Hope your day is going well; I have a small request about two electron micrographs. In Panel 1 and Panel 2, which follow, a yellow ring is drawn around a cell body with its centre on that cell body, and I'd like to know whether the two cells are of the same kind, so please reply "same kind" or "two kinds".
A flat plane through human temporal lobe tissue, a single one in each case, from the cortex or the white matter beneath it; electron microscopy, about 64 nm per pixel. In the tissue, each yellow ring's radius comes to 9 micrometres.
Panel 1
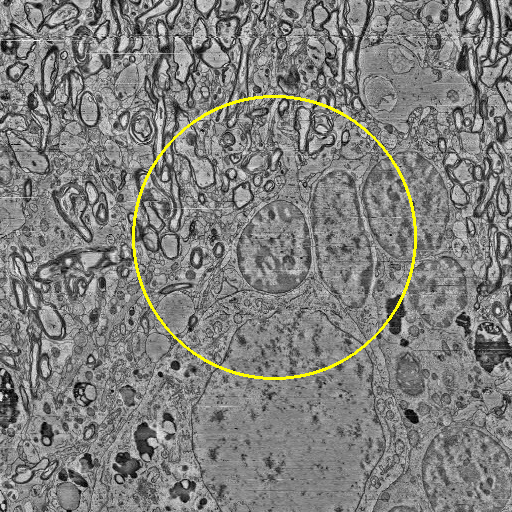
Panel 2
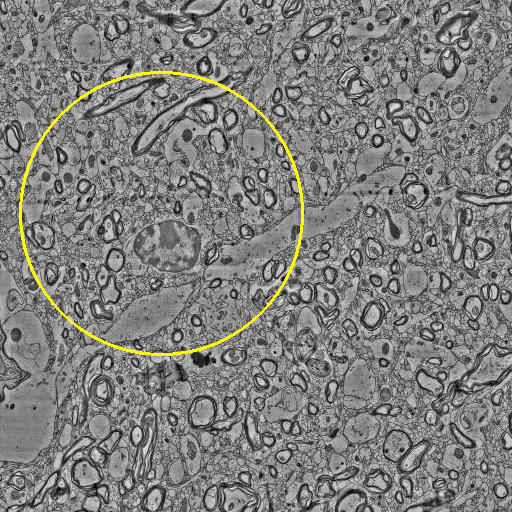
same kind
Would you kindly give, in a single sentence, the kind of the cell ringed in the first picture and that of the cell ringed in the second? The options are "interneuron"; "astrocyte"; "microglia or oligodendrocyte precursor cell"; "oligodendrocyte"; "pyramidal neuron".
Each of the two rings surrounds a microglial cell or oligodendrocyte precursor cell.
